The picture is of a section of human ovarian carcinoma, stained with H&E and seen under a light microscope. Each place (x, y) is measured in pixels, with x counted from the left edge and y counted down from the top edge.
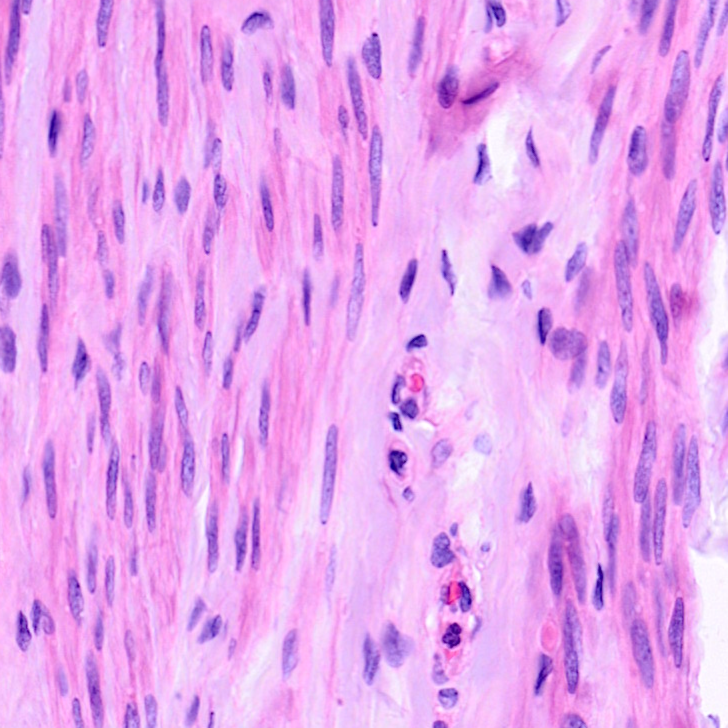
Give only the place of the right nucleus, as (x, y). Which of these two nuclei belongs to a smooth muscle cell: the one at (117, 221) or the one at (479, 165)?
(117, 221)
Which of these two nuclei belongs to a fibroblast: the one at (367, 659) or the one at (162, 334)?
(367, 659)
